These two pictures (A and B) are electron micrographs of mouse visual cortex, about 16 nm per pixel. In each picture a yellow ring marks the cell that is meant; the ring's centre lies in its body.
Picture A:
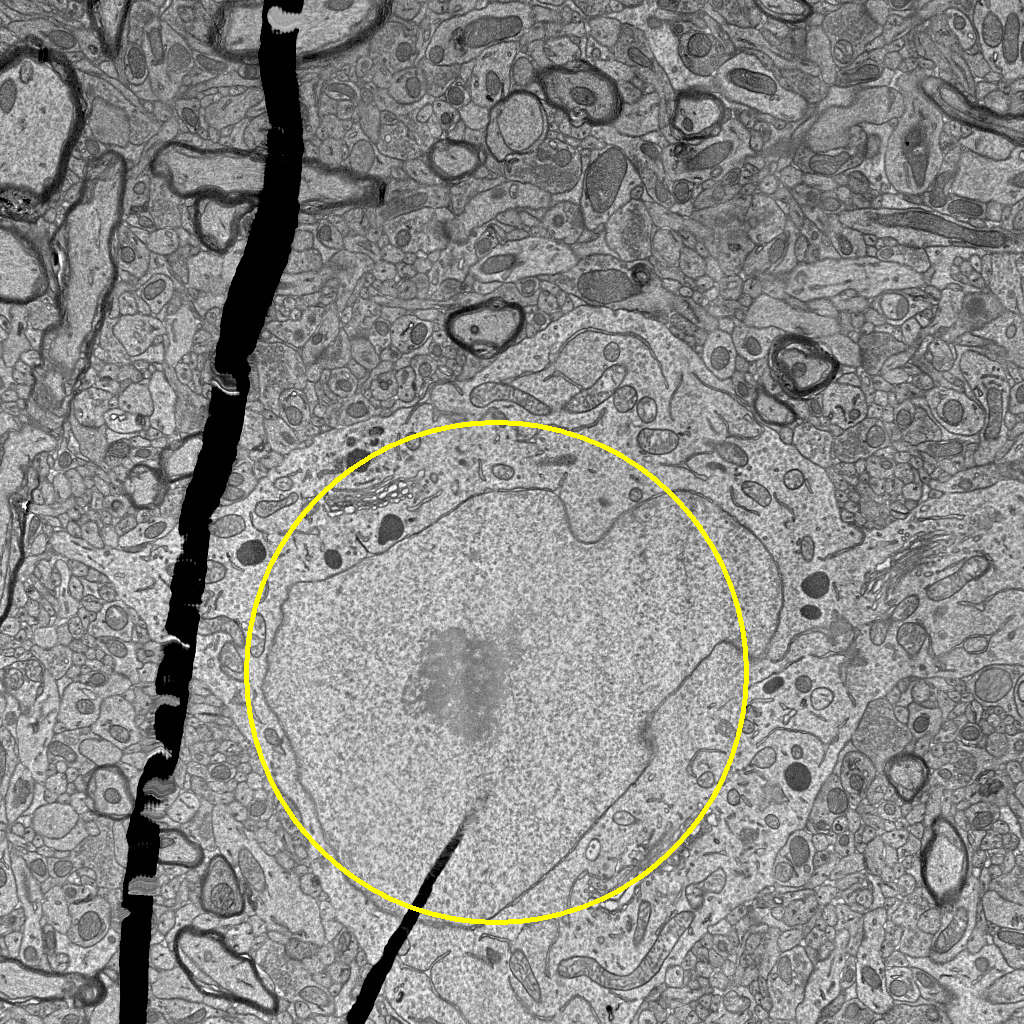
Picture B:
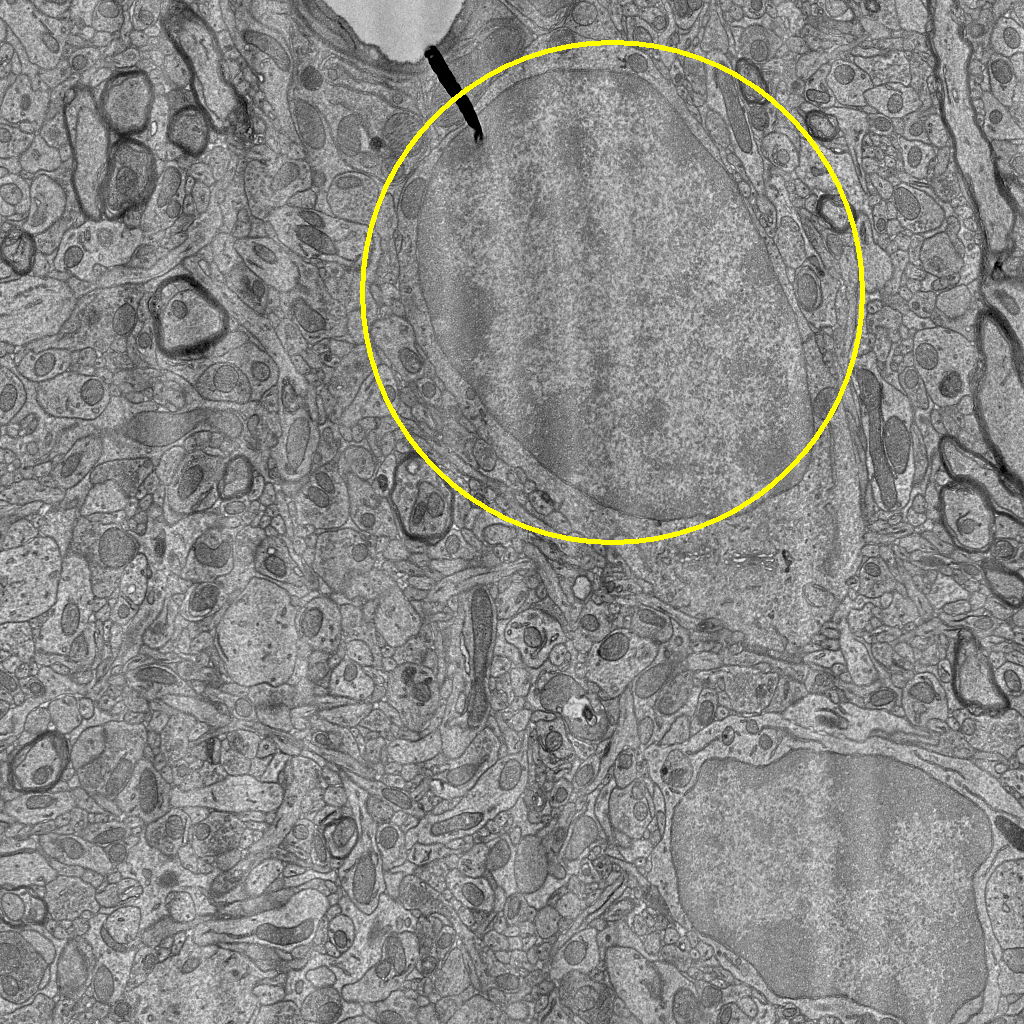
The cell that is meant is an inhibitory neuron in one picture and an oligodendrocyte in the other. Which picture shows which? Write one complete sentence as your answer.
Picture B shows an oligodendrocyte, while picture A shows an inhibitory neuron.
